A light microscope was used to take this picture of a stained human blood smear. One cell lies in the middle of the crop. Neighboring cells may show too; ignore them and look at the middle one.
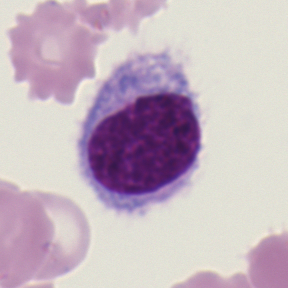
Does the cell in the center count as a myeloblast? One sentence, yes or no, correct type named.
No, what lies at the heart of the crop is a hairy cell, not a myeloblast.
